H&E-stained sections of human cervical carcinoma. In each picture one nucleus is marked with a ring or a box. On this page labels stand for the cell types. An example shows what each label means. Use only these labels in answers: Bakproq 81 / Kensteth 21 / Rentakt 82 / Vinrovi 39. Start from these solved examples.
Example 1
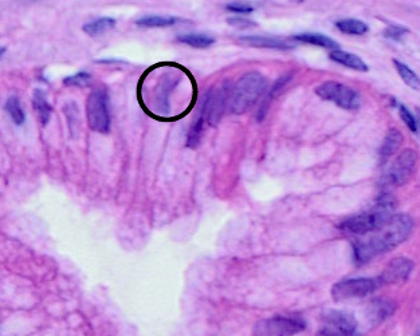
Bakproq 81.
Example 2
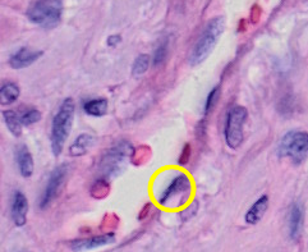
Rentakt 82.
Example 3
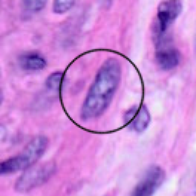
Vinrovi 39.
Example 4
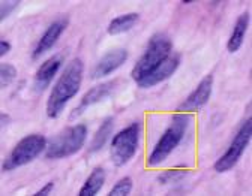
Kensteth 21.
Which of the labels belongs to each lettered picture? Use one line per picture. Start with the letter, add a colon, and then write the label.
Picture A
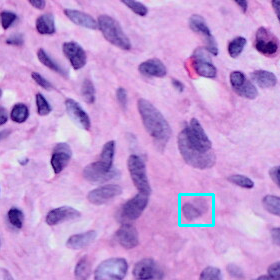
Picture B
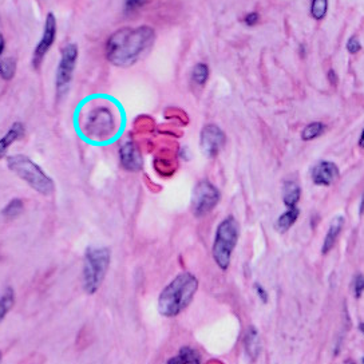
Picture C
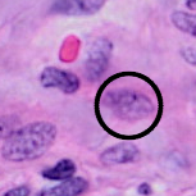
A: Kensteth 21.
B: Rentakt 82.
C: Rentakt 82.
